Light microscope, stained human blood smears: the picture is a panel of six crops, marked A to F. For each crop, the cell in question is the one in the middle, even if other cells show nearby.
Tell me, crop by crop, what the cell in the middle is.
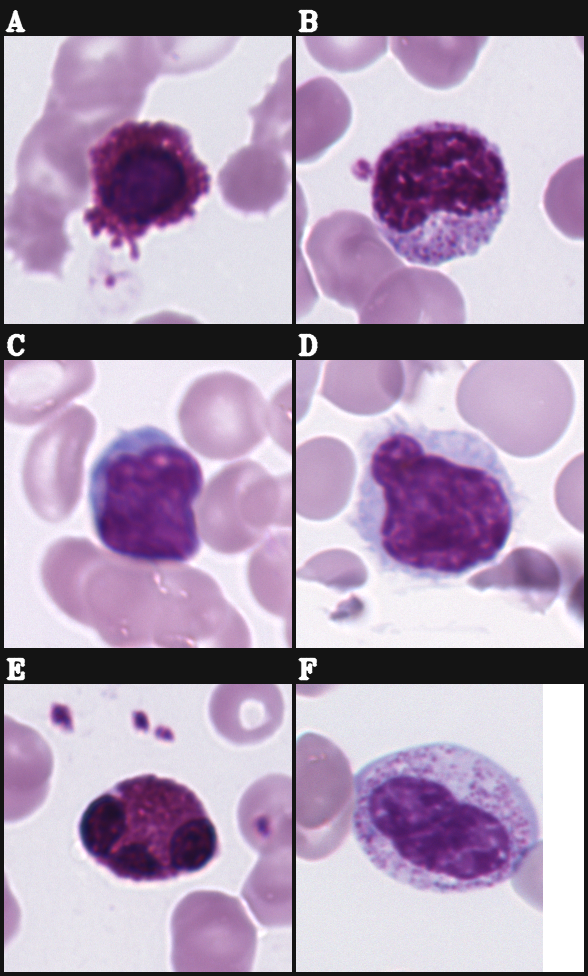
A: eosinophil
B: metamyelocyte
C: typical lymphocyte
D: hairy cell
E: eosinophil
F: metamyelocyte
